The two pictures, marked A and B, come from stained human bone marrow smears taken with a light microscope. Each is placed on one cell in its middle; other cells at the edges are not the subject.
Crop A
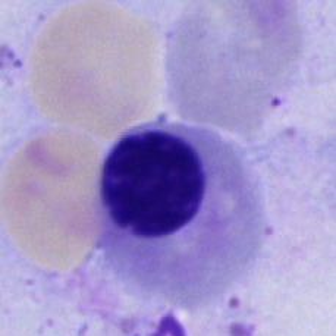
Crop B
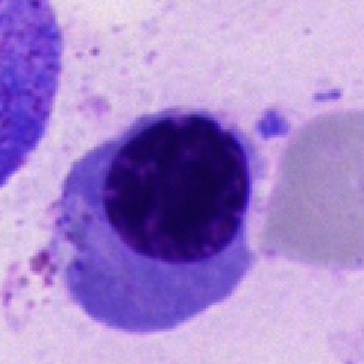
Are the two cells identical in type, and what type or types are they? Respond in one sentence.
Yes, both crops show normoblasts, to put it briefly.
